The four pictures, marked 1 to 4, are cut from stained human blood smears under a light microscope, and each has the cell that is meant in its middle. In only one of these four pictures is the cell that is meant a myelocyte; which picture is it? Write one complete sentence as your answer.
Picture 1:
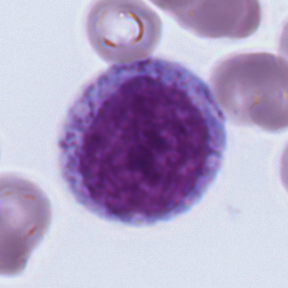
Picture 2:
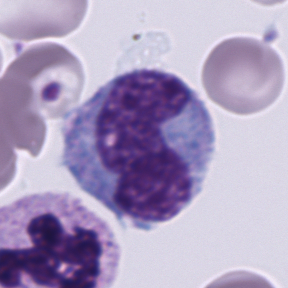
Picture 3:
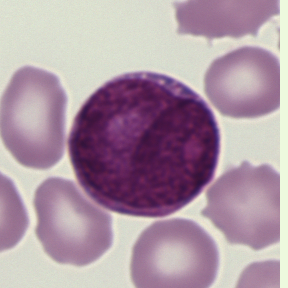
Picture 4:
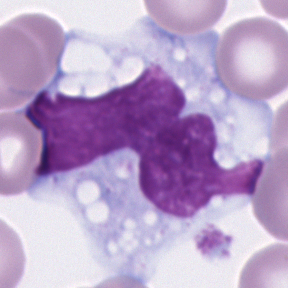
Picture 1 is the one that shows the myelocyte.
